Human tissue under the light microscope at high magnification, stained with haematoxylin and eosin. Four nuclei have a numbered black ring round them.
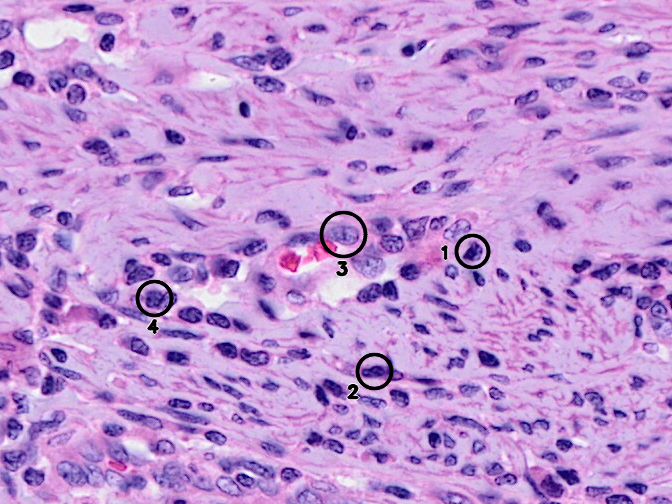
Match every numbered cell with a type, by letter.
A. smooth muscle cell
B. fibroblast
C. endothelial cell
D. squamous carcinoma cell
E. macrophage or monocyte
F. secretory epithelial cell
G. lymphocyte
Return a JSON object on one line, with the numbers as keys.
{"1": "G", "2": "G", "3": "C", "4": "G"}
